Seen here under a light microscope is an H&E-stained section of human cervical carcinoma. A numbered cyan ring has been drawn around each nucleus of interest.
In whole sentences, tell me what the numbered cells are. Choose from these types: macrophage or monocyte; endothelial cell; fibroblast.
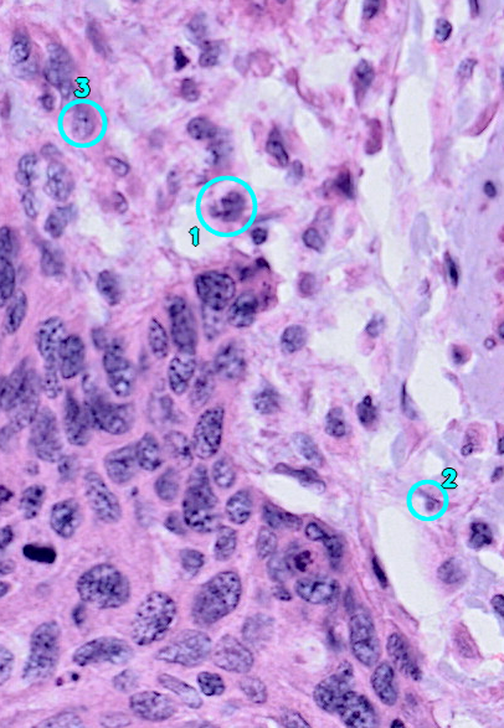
Cell 1 is a macrophage or monocyte, cell 2 is a fibroblast and cell 3 is an endothelial cell.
